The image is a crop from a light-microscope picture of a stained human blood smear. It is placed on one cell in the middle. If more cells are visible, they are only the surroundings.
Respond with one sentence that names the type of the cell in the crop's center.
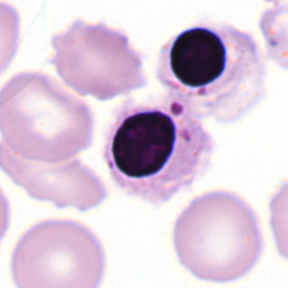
Of the cells in this crop, the central one is a normoblast.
